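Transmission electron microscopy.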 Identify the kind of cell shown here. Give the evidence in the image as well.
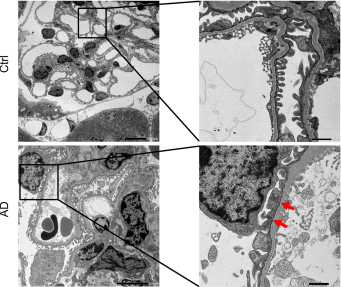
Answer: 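Cells with dark nuclei sit on the outer side of thin capillary walls. Small regular processes line the thin membrane at high magnification. Capillary lumens hold red blood cells. So: podocytes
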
